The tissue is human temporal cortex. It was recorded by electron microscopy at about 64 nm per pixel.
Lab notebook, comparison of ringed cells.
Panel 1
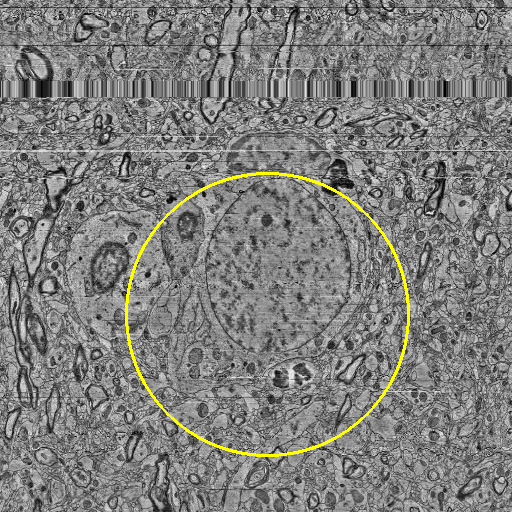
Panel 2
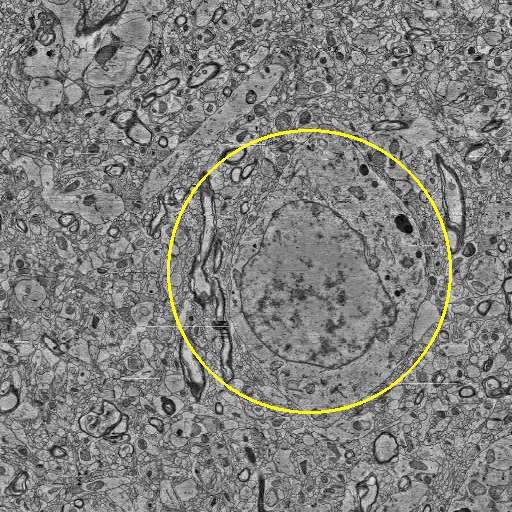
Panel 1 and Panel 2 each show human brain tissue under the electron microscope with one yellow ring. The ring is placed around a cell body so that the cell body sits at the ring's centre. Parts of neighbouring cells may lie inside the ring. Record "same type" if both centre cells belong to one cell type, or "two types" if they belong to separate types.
same type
